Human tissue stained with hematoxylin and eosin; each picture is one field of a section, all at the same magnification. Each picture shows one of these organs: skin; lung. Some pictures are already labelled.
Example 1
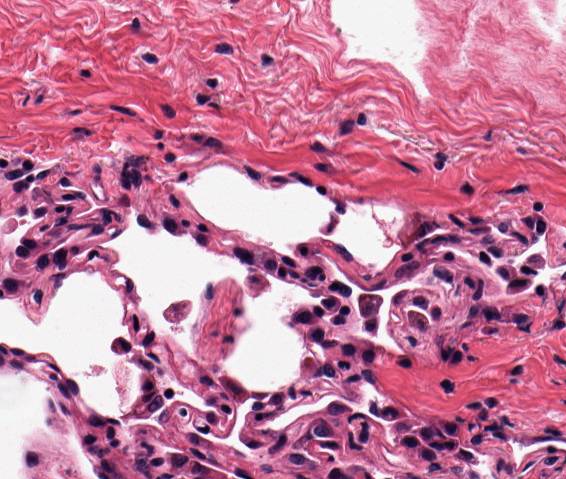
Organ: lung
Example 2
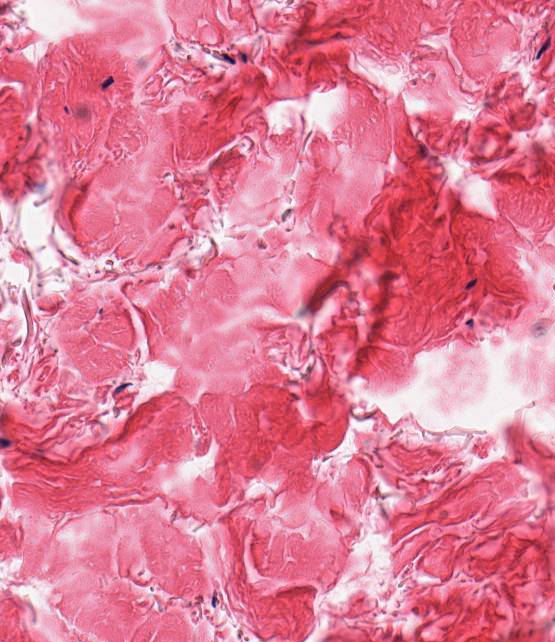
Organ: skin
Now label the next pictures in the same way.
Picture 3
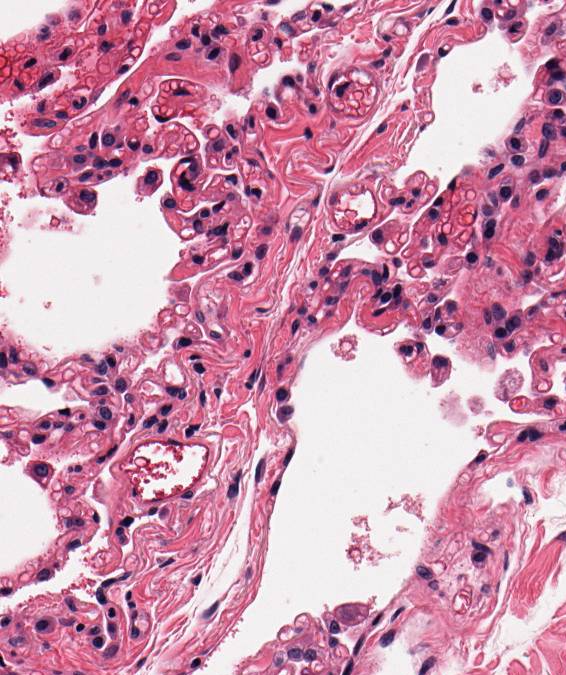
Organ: lung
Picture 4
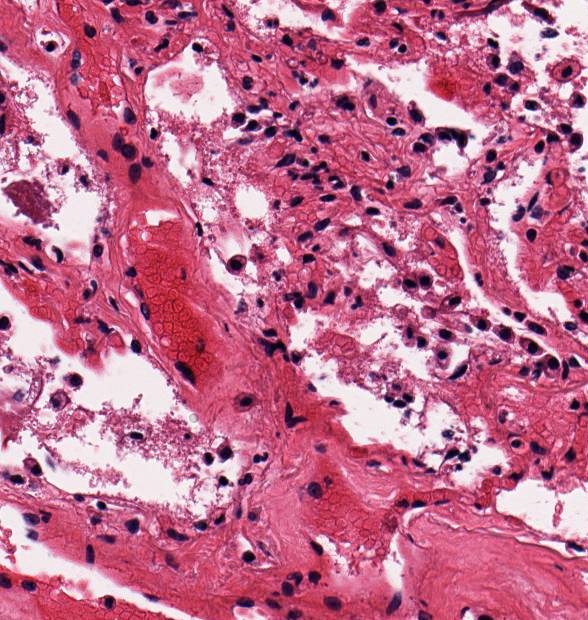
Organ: lung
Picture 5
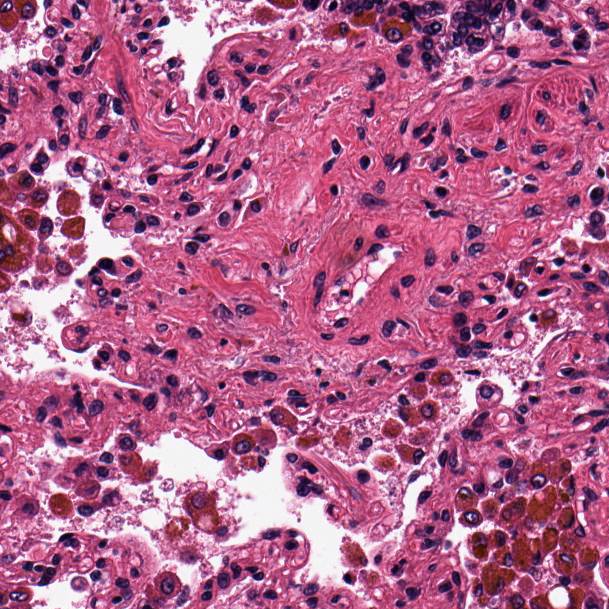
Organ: lung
